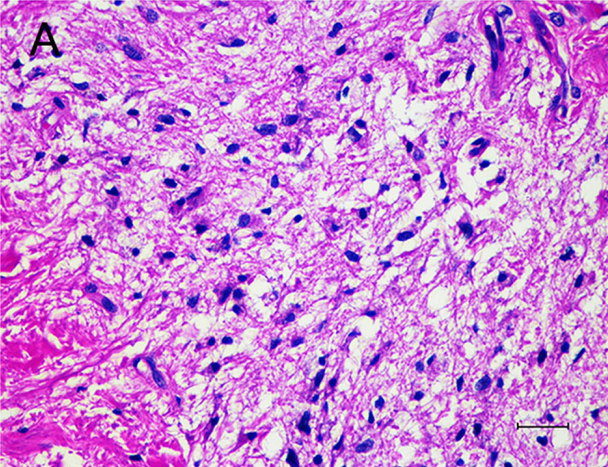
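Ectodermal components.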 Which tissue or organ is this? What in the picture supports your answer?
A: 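A loose pink fibrillary meshwork fills most of the field. Small oval to elongated dark nuclei are scattered through the meshwork without forming epithelium. The answer: neuronal tissue.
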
